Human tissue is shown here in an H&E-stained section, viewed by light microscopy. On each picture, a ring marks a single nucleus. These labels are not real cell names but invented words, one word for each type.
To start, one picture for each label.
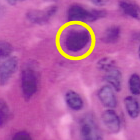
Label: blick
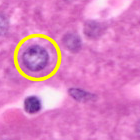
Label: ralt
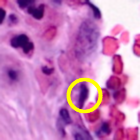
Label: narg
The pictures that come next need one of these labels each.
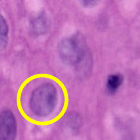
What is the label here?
blick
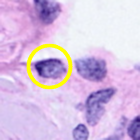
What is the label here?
narg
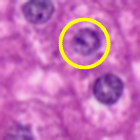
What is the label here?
ralt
